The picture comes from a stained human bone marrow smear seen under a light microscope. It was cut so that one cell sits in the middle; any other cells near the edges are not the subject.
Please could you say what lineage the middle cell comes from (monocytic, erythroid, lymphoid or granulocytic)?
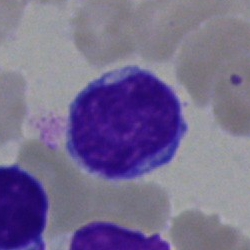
lymphoid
